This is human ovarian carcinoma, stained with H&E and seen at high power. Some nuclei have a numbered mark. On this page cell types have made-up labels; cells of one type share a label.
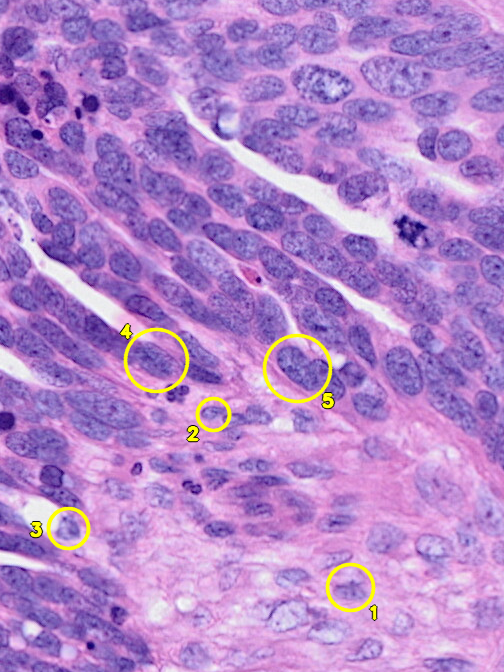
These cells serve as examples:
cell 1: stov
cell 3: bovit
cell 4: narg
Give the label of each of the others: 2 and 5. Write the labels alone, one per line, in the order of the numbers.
stov
narg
